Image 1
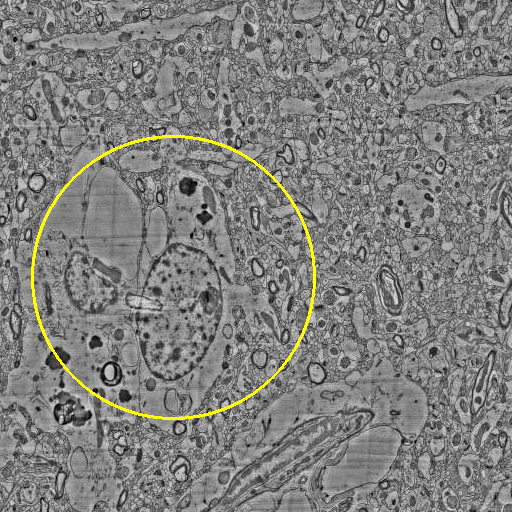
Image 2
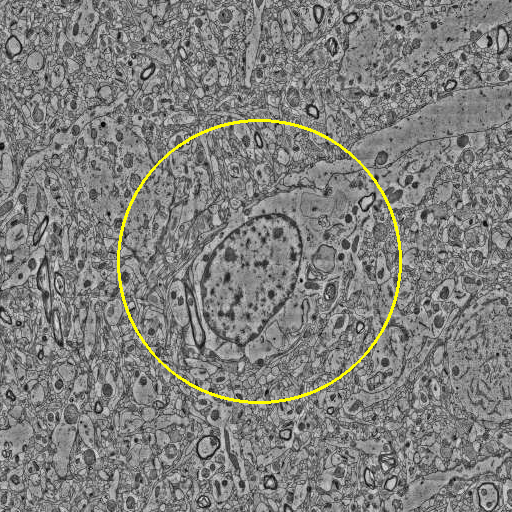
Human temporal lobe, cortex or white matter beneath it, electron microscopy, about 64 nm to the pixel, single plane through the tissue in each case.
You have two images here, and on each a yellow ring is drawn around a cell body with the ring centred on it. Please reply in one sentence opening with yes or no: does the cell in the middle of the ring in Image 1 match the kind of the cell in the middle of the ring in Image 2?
Yes, the two images show cells of one kind at the centres of their rings.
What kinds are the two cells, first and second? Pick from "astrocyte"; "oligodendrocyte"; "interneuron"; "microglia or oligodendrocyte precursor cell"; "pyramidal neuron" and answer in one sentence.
The ring centre holds an astrocyte in each of the two pictures.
